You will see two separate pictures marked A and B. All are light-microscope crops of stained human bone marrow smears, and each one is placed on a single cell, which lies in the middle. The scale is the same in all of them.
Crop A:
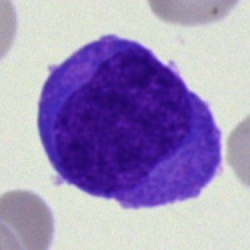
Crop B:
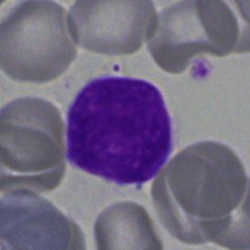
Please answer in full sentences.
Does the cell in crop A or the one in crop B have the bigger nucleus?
The nucleus in crop A is larger, with about 1.5 times the area of the one in crop B.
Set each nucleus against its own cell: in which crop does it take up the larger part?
Of the two, the nucleus in crop B makes up the greater part of its cell.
